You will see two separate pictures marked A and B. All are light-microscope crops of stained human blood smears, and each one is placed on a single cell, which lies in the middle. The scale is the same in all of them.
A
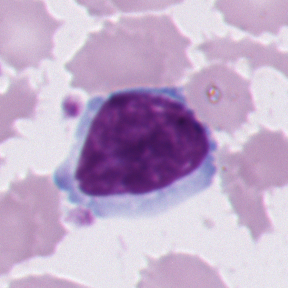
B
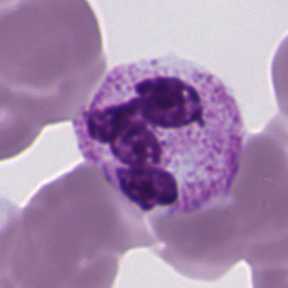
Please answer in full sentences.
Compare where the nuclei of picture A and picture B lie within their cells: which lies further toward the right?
Seen within its cell, the nucleus in picture A lies further toward the right.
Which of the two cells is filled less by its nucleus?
Of the two, the nucleus in picture B leaves more room for cytoplasm.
